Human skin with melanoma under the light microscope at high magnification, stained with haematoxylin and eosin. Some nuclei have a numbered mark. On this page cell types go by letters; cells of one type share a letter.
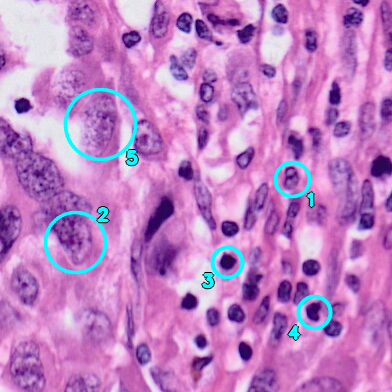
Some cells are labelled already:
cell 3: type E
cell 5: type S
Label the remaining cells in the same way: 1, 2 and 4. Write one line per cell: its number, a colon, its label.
1: type E
2: type S
4: type E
